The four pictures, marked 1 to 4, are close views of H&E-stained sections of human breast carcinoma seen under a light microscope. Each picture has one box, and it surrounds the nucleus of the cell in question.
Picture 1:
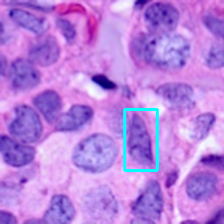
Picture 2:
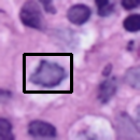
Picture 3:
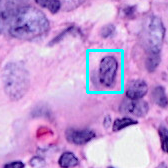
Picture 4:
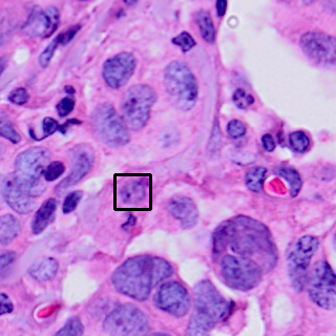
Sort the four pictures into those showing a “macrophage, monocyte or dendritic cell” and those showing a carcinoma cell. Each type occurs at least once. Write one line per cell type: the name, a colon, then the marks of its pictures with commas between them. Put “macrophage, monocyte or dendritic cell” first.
macrophage, monocyte or dendritic cell: 3, 4
carcinoma cell: 1, 2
